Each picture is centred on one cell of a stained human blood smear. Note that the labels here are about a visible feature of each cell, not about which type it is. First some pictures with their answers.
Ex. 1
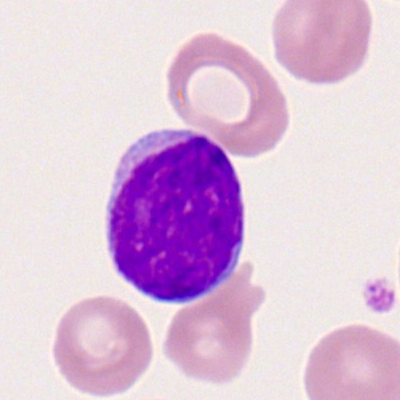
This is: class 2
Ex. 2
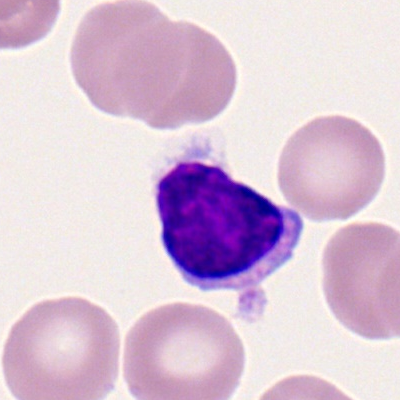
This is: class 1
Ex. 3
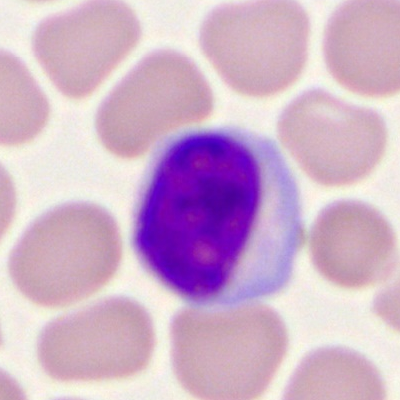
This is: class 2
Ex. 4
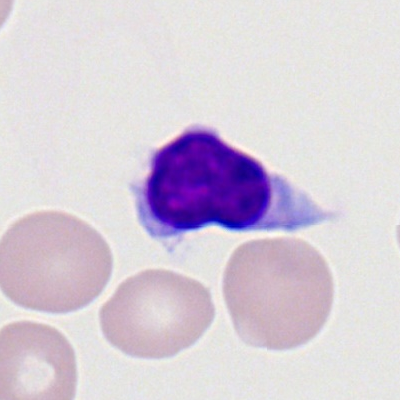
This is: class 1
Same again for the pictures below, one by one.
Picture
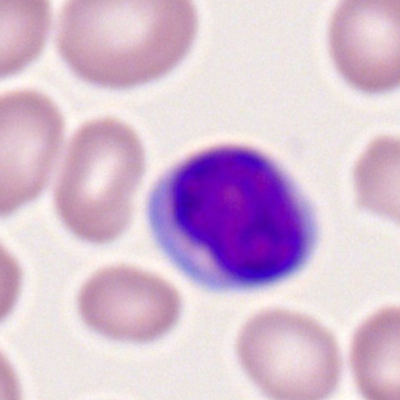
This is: class 2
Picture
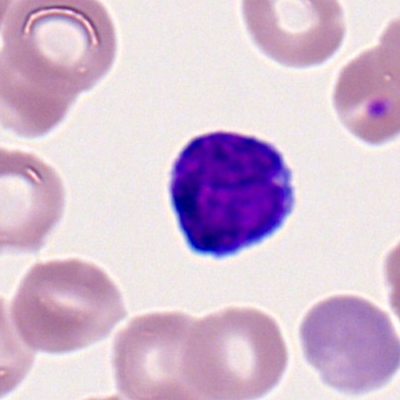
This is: class 2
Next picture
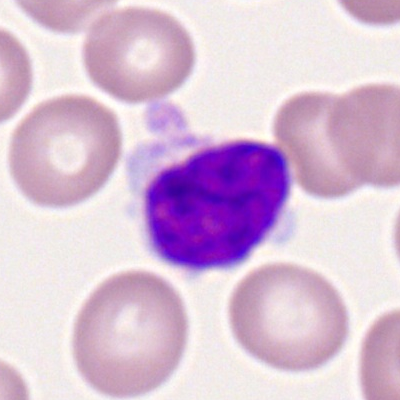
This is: class 1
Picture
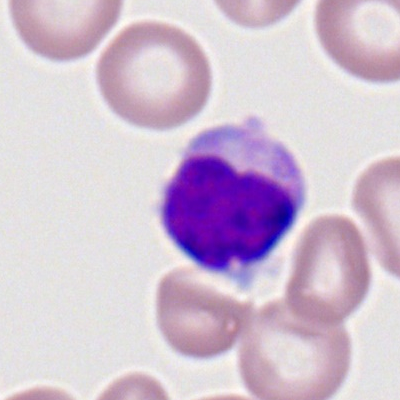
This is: class 1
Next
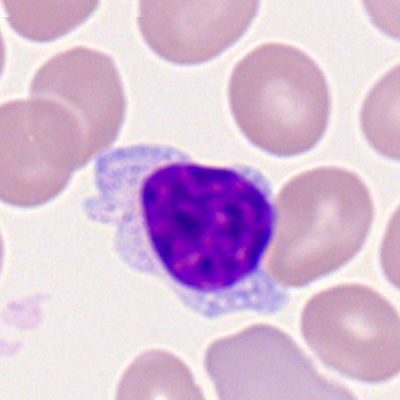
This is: class 1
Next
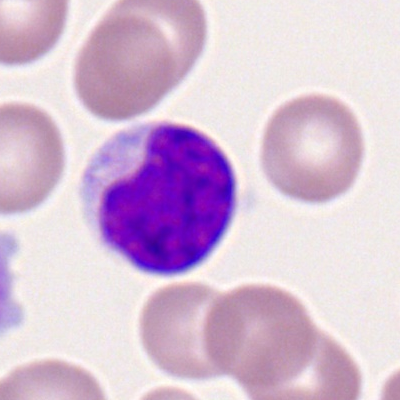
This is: class 2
